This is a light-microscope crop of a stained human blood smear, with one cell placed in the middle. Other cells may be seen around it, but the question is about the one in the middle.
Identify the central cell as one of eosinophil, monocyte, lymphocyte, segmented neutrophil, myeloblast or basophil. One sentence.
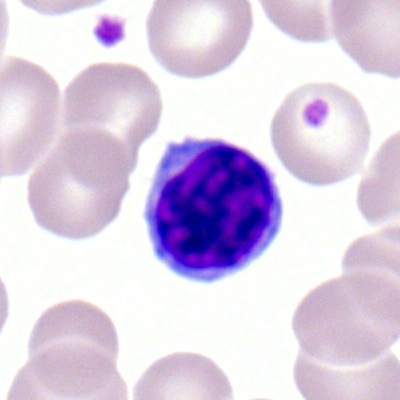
Whatever else lies nearby, the middle cell is a lymphocyte.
